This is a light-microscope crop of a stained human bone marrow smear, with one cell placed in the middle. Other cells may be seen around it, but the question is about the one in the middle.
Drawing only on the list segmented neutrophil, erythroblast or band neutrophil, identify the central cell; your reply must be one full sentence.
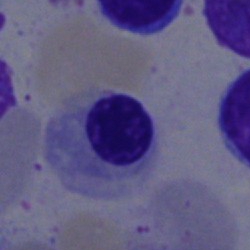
Positioned in the middle of the crop is an erythroblast.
